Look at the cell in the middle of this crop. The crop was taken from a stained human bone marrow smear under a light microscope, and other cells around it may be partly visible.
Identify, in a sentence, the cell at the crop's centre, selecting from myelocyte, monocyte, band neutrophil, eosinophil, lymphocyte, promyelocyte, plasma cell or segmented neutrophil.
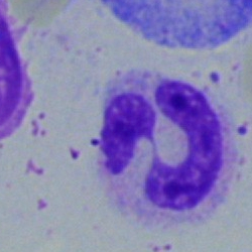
Looking at the middle of the crop, the cell there is a segmented neutrophil.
